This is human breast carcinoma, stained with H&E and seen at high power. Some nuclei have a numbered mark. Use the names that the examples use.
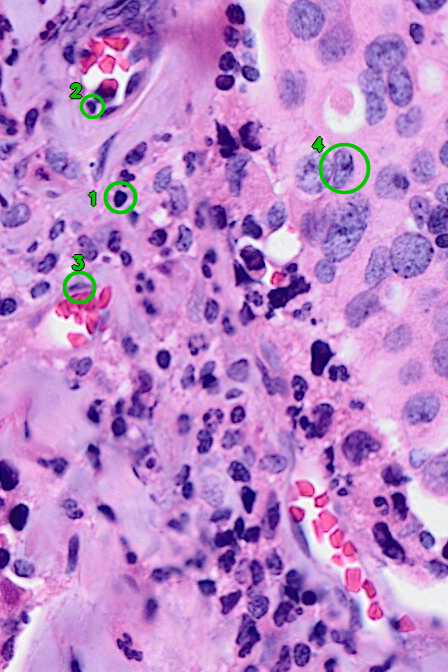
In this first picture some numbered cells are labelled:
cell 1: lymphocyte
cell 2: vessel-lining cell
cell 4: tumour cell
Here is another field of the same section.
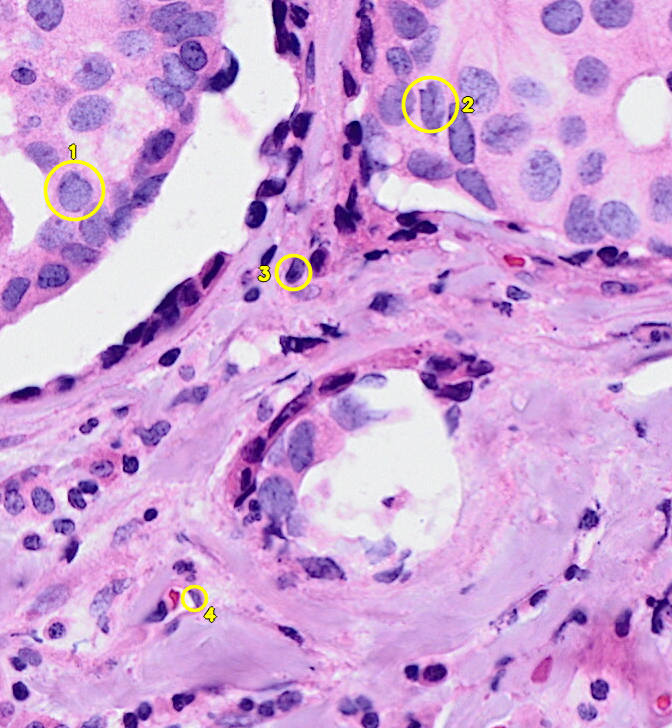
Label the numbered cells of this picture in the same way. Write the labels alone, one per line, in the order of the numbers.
tumour cell
tumour cell
lymphocyte
vessel-lining cell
